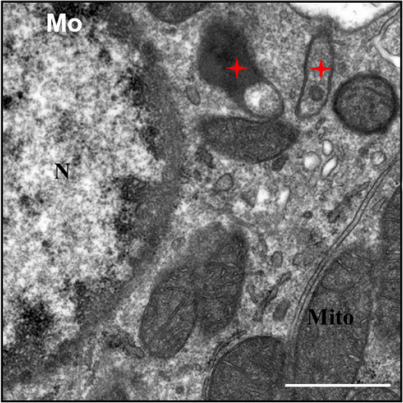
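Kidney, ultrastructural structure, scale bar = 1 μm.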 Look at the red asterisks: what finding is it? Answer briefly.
vacuole-mitochondria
